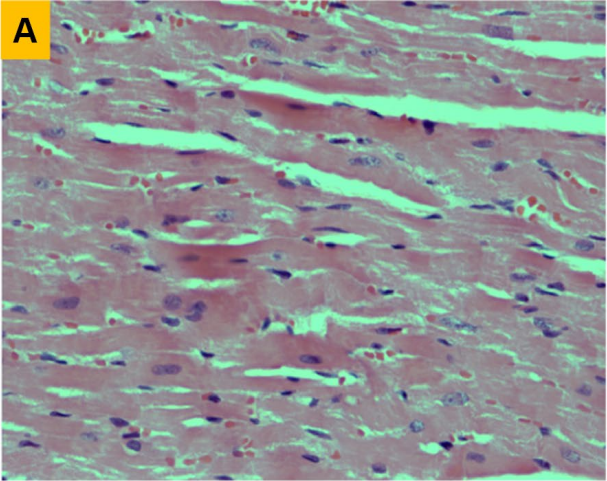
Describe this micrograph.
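This is heart muscle in longitudinal section, with pink muscle fibers running side by side across the field. The fibers hold oval, pale nuclei with fine chromatin lying along their length. Slender, darker nuclei sit in the narrow spaces between the fibers. Scattered red blood cells lie in small capillaries between the fibers. Pale clefts separate some of the fibers, but the overall parallel arrangement is kept.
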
